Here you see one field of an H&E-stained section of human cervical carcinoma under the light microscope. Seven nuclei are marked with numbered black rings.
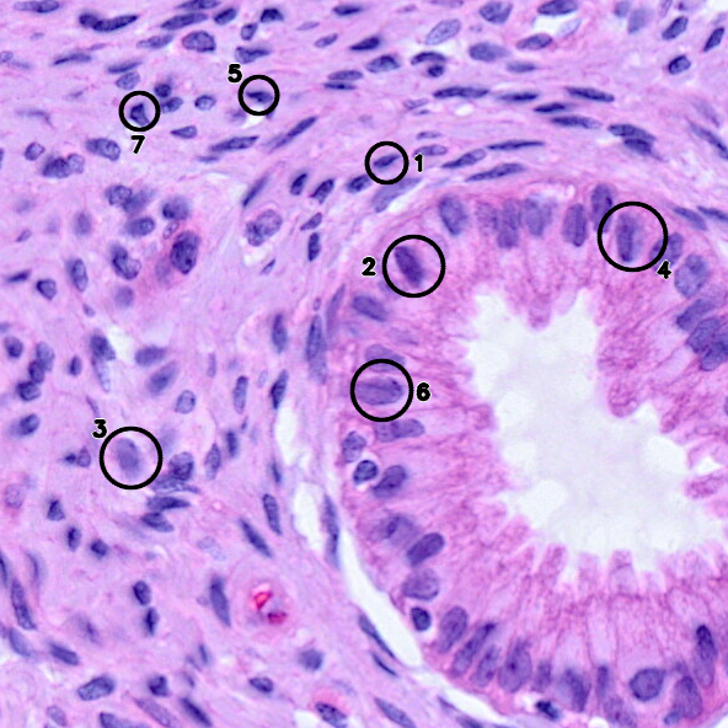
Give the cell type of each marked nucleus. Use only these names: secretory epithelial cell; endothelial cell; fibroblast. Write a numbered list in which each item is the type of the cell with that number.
1. fibroblast
2. secretory epithelial cell
3. fibroblast
4. secretory epithelial cell
5. fibroblast
6. secretory epithelial cell
7. fibroblast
